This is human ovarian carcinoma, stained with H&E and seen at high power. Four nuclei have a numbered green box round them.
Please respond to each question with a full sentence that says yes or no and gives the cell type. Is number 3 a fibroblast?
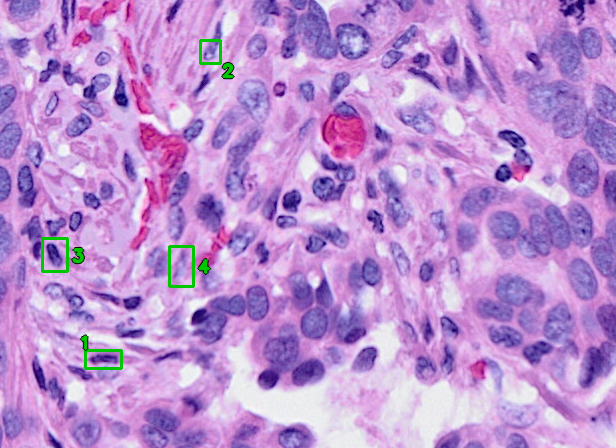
No, cell 3 is to be classed as a lymphocyte, not a fibroblast.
